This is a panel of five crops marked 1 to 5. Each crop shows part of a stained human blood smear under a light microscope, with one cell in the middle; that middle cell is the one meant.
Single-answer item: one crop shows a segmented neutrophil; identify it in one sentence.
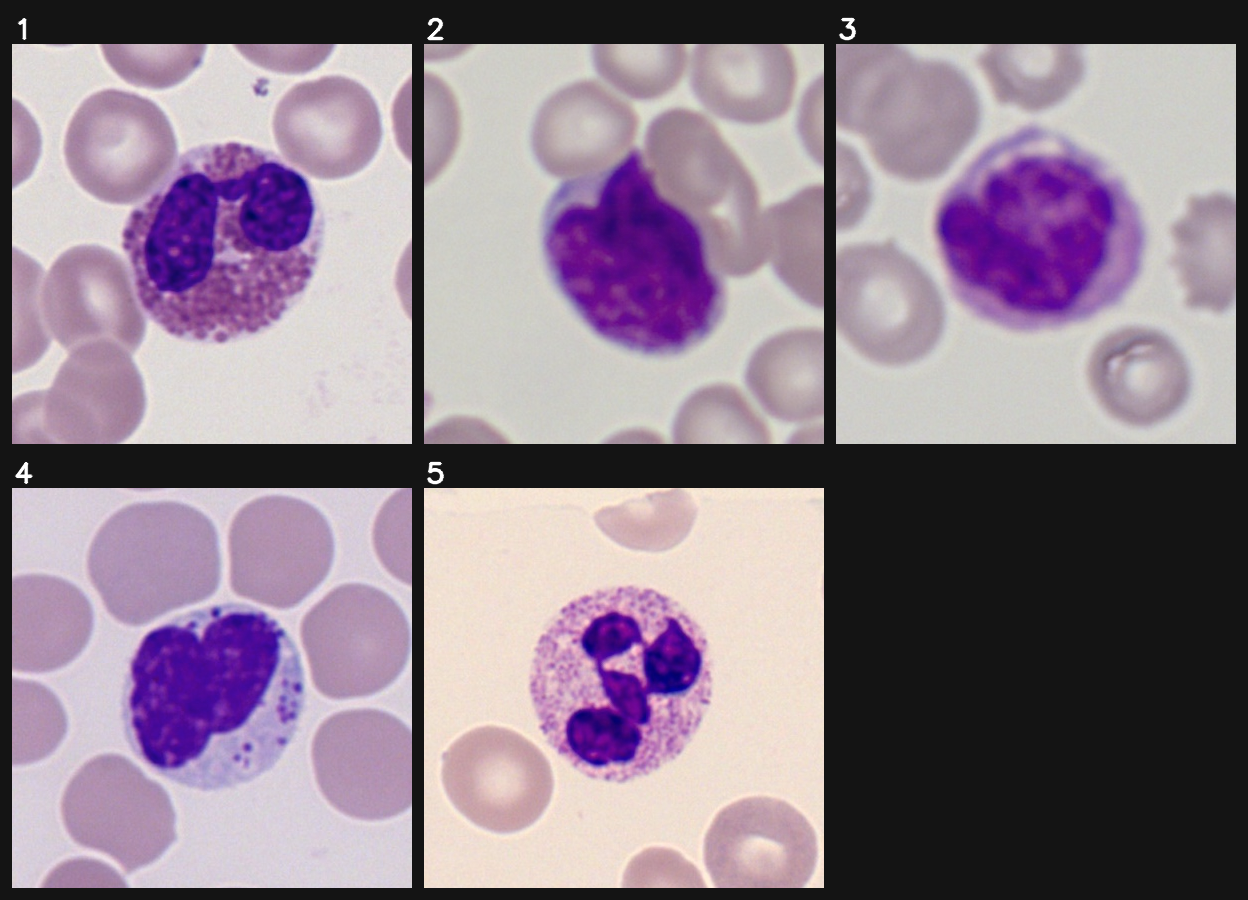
The crop marked 5 is the one in which a segmented neutrophil is shown.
